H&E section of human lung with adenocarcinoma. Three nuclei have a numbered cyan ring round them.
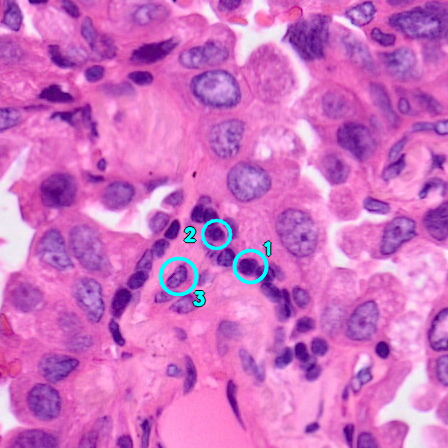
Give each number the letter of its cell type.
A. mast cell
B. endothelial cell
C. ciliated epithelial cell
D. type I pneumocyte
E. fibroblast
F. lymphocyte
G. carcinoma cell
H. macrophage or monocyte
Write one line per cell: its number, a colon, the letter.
1: F
2: F
3: A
